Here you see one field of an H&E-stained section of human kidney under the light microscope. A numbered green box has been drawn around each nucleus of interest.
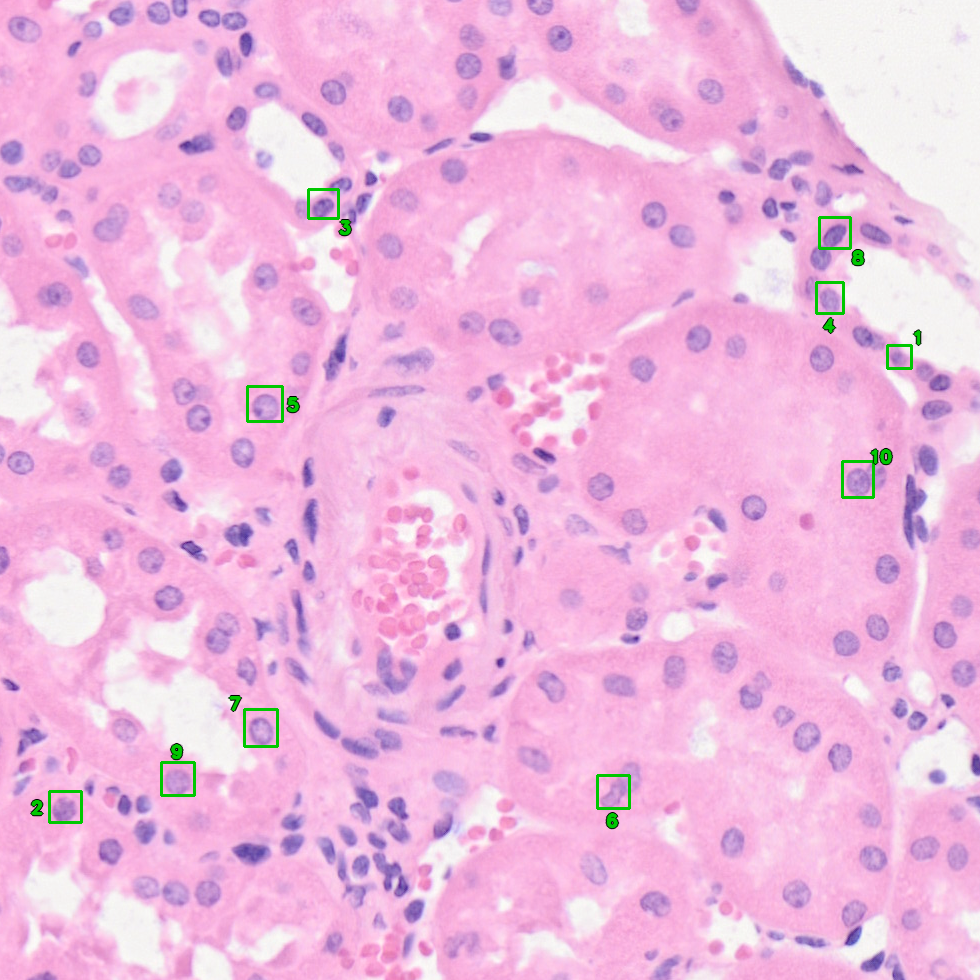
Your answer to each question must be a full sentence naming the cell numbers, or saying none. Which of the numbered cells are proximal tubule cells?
The cells assigned the numbers 2, 5, 6, 7, 9 and 10 are proximal tubule cells.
